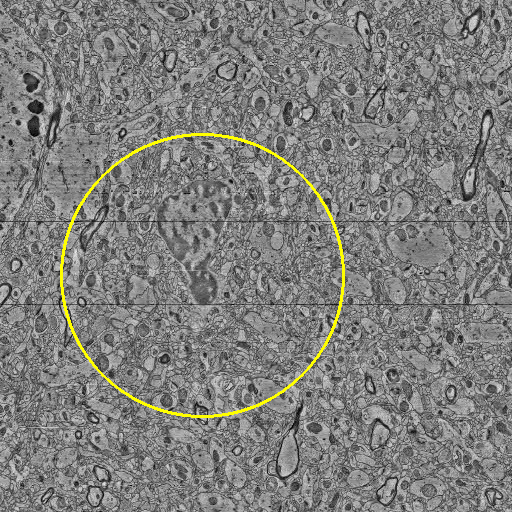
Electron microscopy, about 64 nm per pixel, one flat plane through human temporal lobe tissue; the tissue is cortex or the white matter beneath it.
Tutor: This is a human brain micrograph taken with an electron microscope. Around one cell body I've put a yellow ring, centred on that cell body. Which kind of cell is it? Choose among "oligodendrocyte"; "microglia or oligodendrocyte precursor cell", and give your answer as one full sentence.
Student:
Going by your list, the cell centred in the yellow ring is a microglial cell or oligodendrocyte precursor cell.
